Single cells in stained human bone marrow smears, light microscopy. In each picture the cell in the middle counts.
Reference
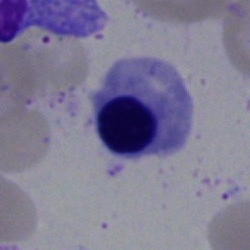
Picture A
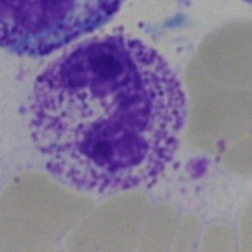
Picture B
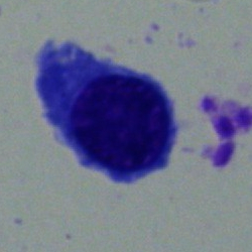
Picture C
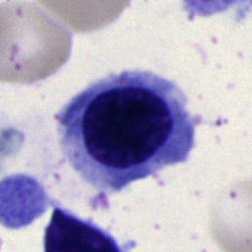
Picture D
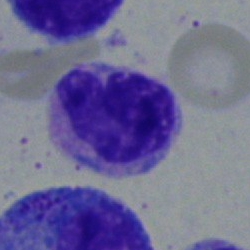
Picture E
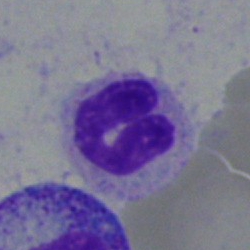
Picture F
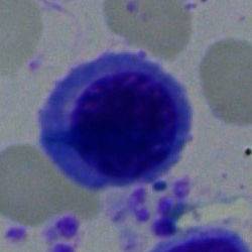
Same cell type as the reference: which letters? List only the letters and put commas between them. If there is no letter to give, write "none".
C, F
